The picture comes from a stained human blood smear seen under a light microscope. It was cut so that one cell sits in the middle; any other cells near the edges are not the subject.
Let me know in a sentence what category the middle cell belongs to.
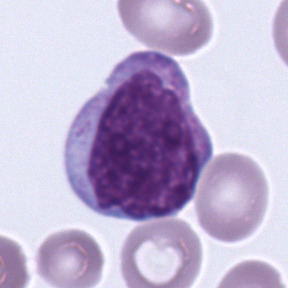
The cell at the middle of the frame should be recorded as an atypical promyelocyte.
